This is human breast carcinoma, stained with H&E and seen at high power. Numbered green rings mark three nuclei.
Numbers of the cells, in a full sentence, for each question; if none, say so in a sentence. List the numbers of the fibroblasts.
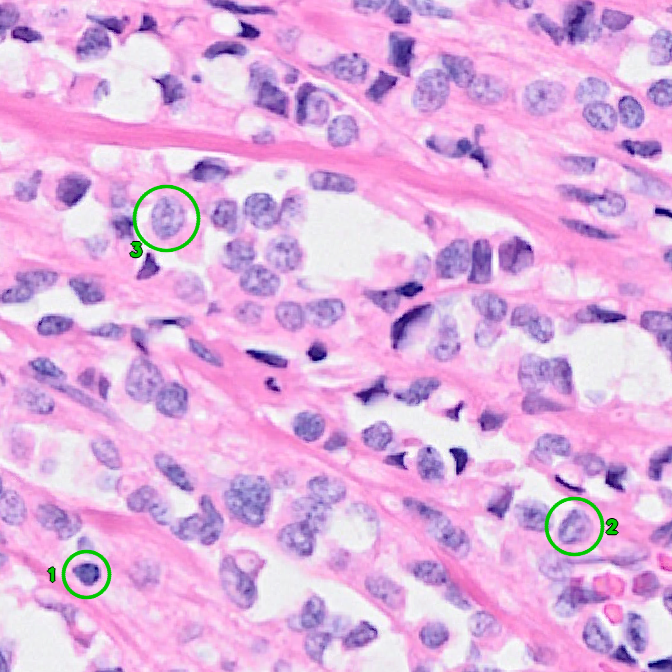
Of the numbered cells, none can be classed as fibroblasts.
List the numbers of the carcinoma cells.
In this section, the cells labelled 2 and 3 are carcinoma cells.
